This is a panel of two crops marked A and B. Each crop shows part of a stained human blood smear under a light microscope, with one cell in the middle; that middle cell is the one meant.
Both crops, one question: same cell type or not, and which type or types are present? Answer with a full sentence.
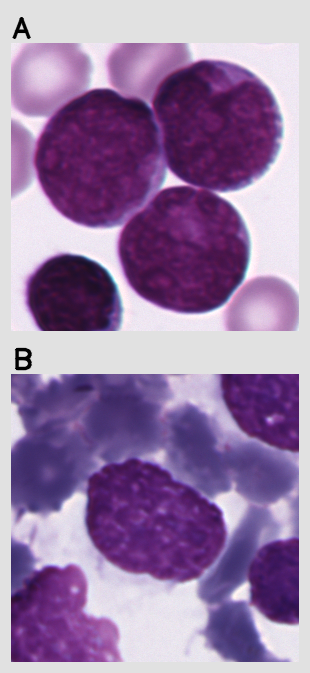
No, whereas crop A shows a myeloblast, crop B shows a smudge cell.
